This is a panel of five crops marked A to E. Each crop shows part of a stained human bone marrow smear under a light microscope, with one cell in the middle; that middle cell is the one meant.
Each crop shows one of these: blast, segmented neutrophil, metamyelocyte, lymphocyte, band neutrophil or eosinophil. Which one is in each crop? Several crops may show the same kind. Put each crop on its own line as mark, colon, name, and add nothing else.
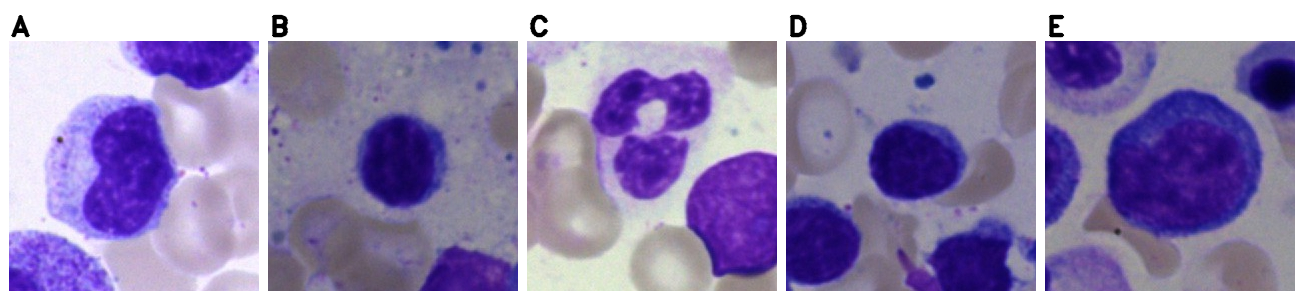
A: metamyelocyte
B: lymphocyte
C: segmented neutrophil
D: lymphocyte
E: blast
